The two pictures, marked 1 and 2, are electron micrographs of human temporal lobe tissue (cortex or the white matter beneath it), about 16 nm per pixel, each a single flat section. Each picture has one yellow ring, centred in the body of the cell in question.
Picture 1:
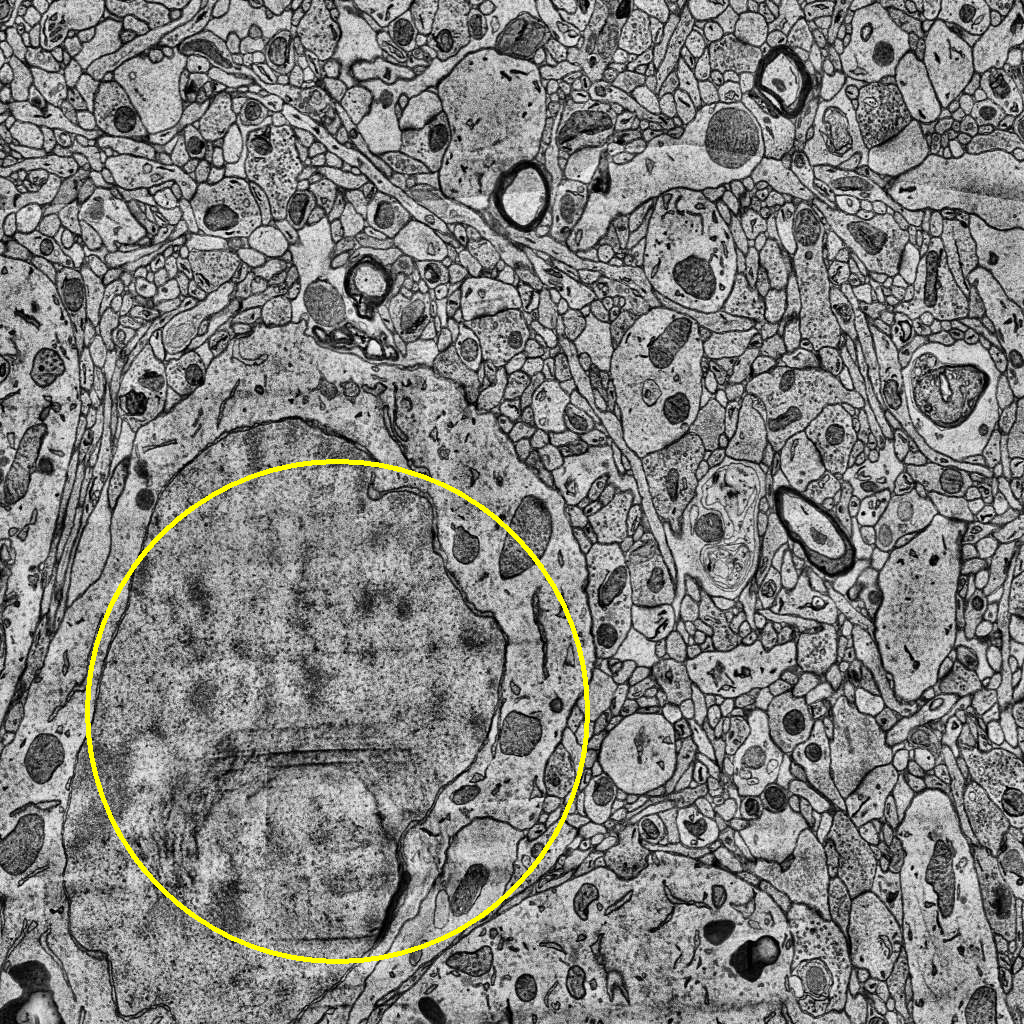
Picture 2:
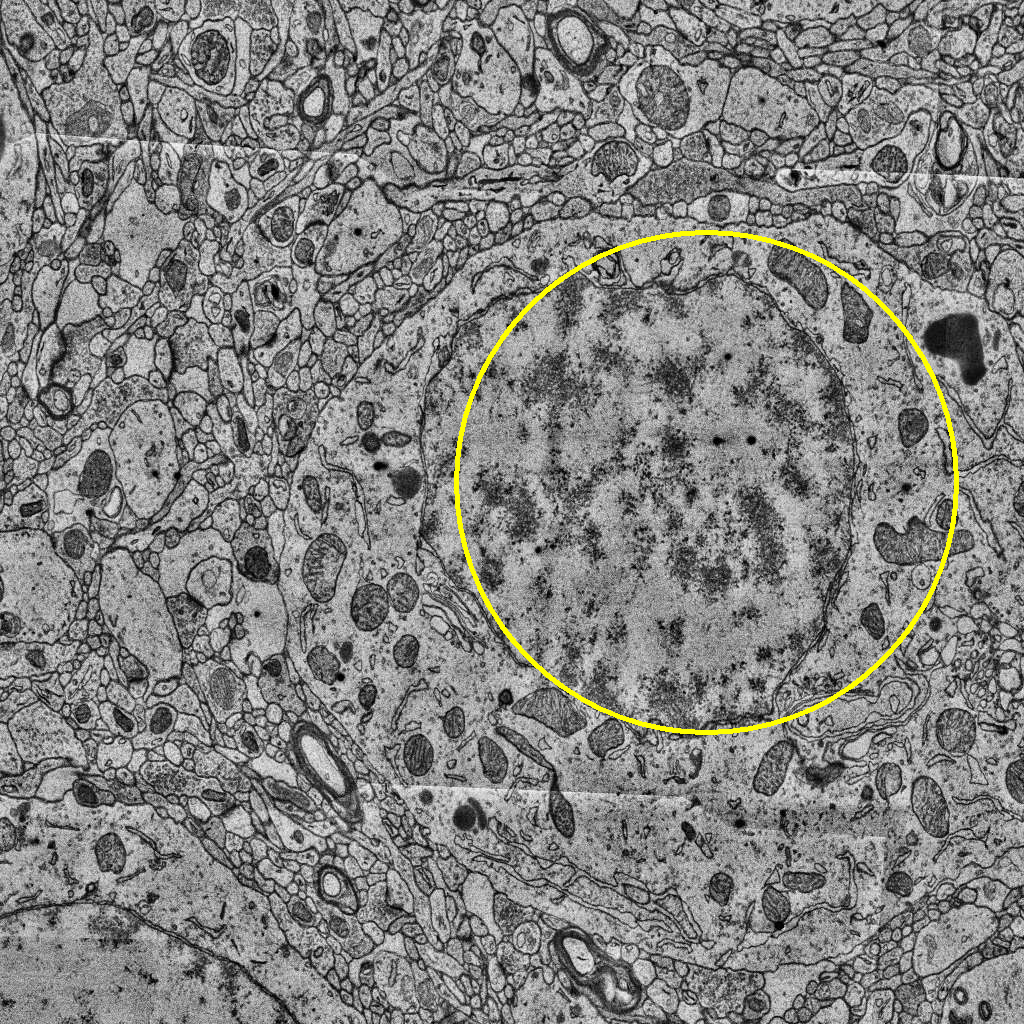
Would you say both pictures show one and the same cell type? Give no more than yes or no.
yes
